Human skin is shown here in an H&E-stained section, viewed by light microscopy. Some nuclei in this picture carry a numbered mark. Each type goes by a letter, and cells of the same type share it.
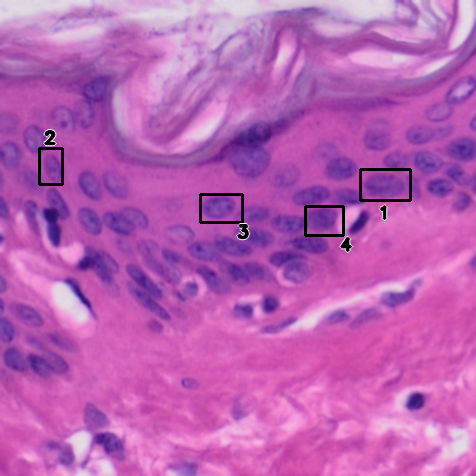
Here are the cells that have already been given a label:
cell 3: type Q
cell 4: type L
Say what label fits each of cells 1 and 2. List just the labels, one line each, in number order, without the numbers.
type L
type Q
